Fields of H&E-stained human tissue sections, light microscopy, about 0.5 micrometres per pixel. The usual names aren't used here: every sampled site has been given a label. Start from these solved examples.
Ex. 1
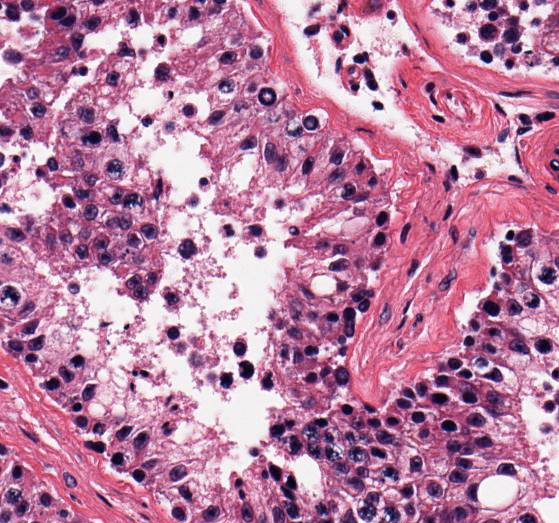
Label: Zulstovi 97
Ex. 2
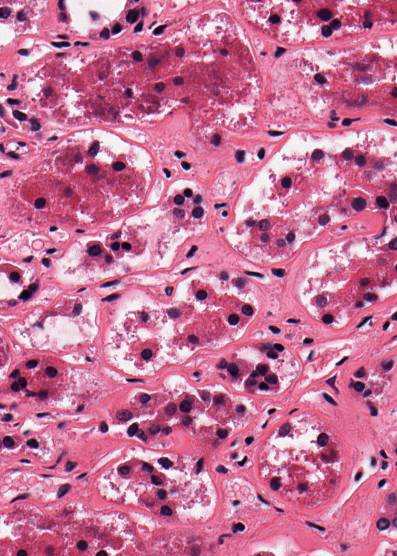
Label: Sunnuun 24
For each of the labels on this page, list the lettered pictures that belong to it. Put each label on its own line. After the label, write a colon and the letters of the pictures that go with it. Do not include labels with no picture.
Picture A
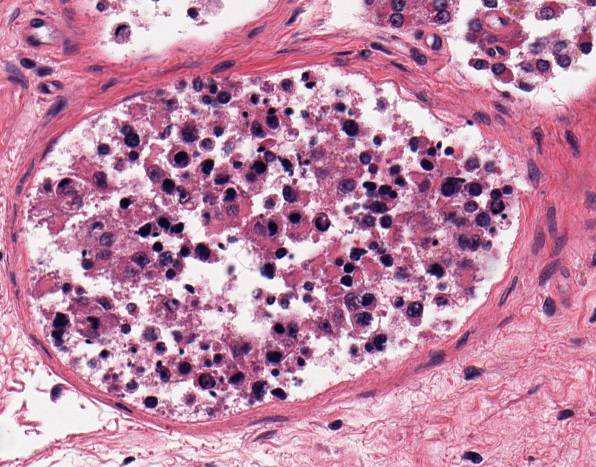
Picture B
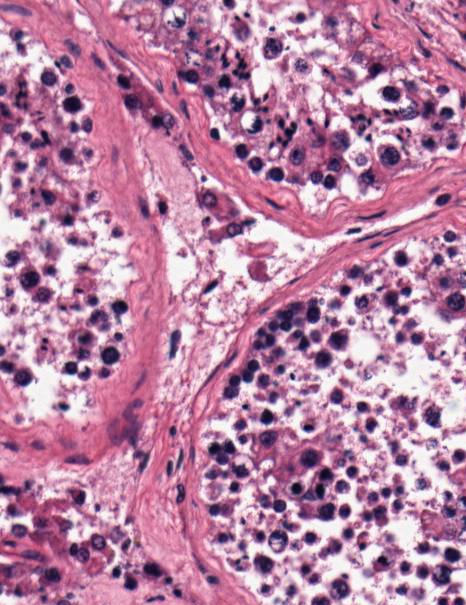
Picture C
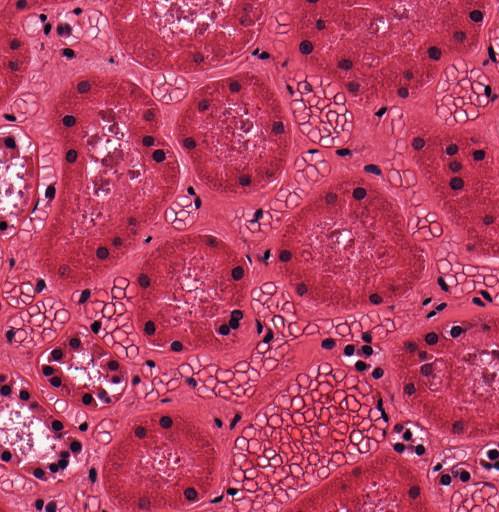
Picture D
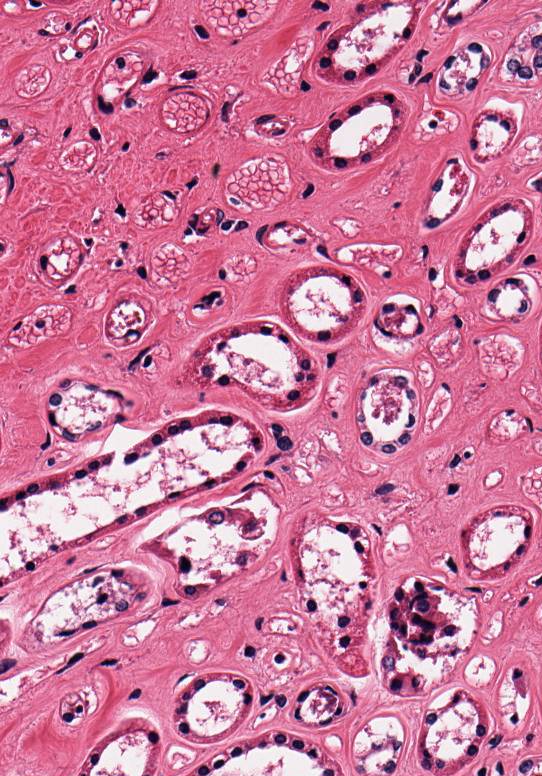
Zulstovi 97: A, B
Sunnuun 24: C, D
